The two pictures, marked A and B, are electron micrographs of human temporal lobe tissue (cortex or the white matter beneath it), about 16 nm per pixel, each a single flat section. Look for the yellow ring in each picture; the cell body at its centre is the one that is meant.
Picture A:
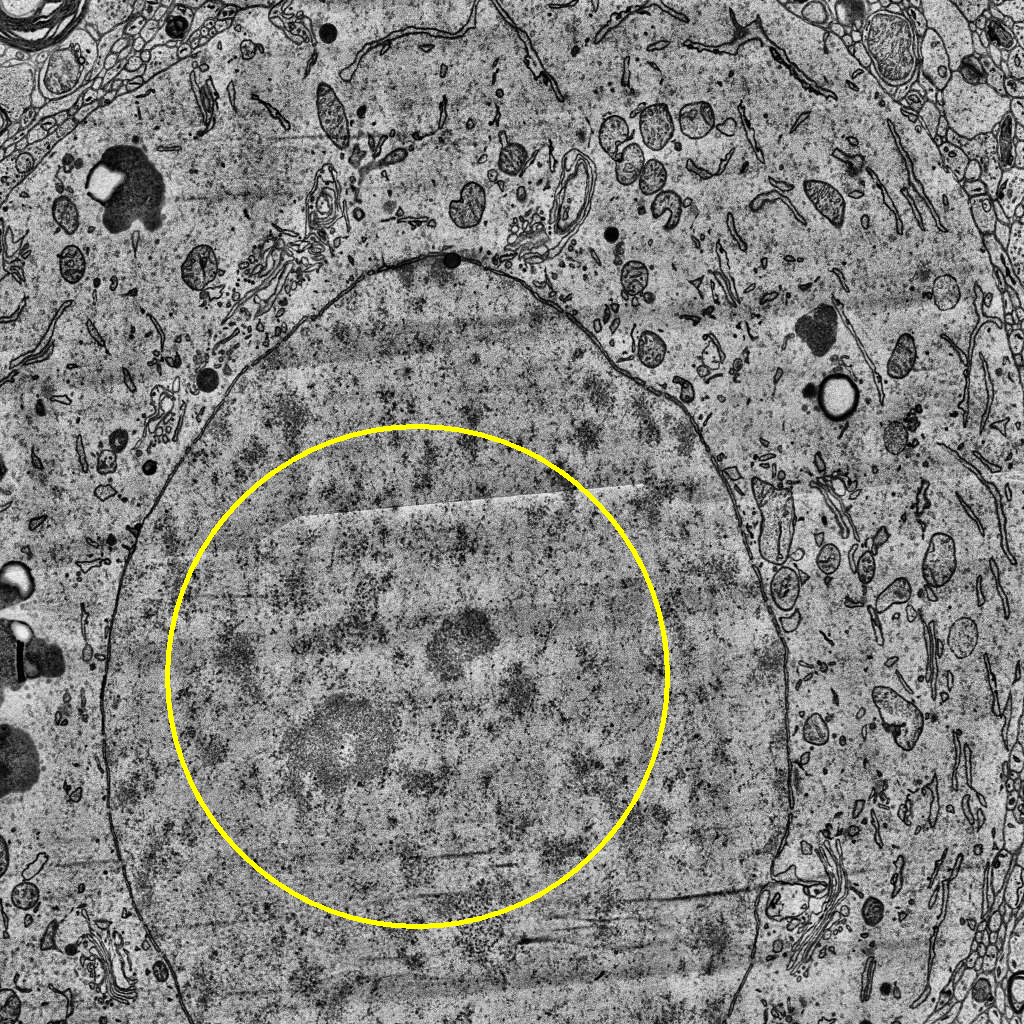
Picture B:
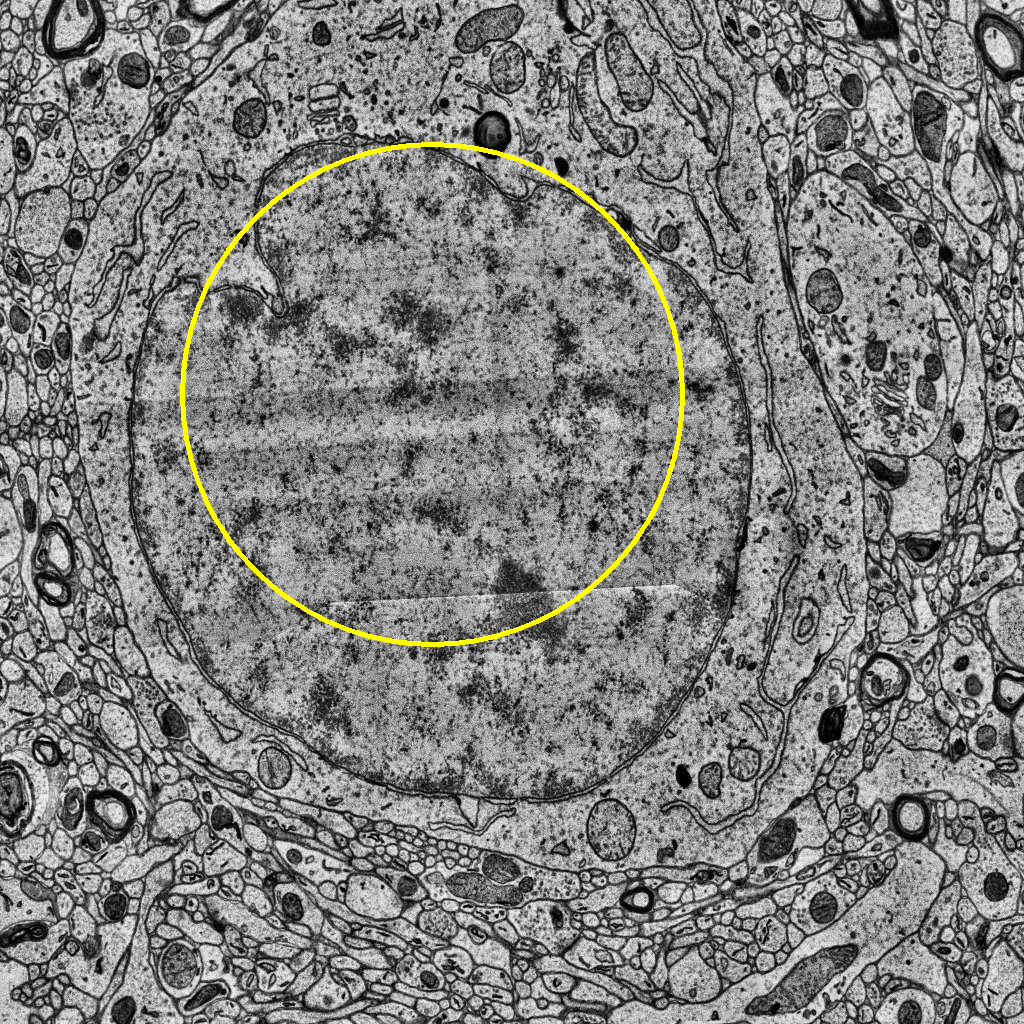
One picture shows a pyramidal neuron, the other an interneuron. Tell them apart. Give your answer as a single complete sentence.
It is picture A that shows a pyramidal neuron, and picture B that shows an interneuron.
